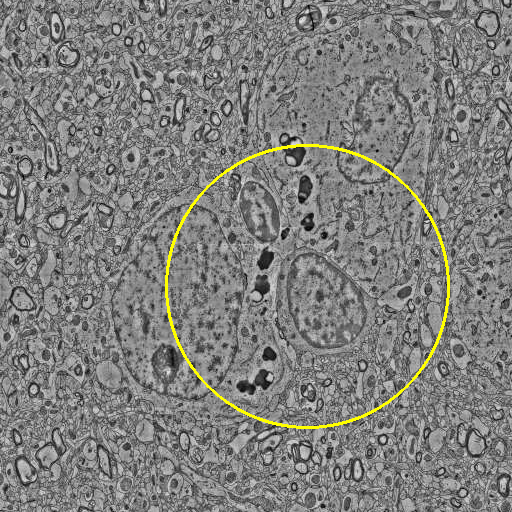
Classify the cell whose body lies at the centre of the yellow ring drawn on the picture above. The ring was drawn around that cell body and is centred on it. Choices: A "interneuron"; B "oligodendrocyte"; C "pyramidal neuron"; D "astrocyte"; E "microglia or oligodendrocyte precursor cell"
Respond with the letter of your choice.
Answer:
B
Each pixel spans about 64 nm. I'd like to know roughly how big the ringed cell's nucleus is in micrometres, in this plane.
In this plane the nucleus is about 6 micrometres by 5.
